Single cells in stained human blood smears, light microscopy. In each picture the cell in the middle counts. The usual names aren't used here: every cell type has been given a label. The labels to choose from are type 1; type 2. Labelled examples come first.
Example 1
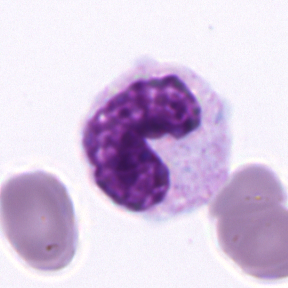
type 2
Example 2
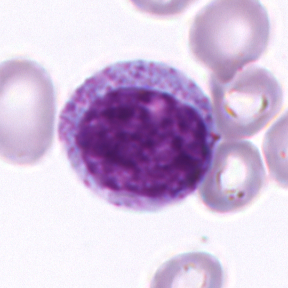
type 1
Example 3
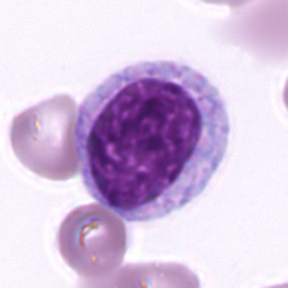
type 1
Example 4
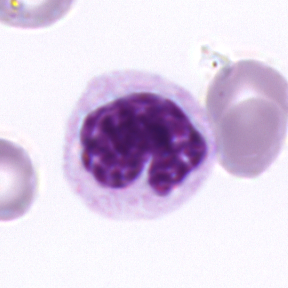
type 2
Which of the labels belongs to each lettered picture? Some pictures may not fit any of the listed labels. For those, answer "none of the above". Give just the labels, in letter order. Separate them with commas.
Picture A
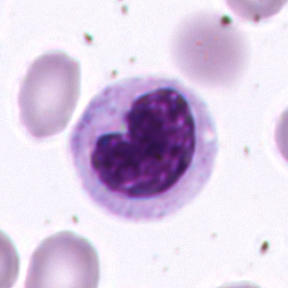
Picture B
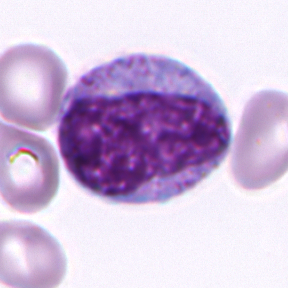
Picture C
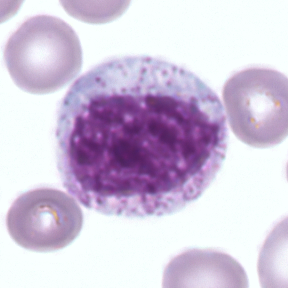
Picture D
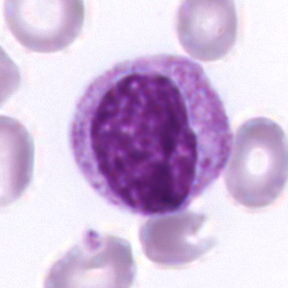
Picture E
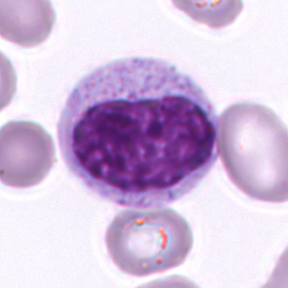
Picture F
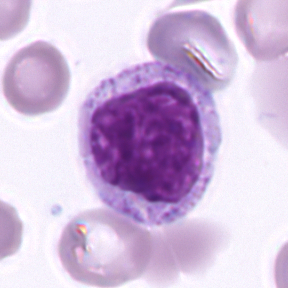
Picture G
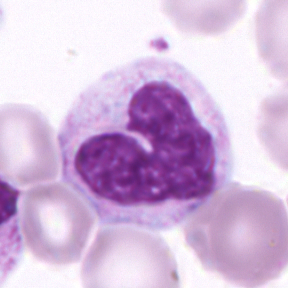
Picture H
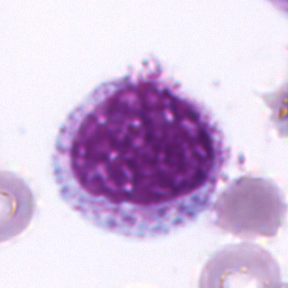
type 2, type 1, none of the above, type 1, none of the above, type 1, type 2, type 1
